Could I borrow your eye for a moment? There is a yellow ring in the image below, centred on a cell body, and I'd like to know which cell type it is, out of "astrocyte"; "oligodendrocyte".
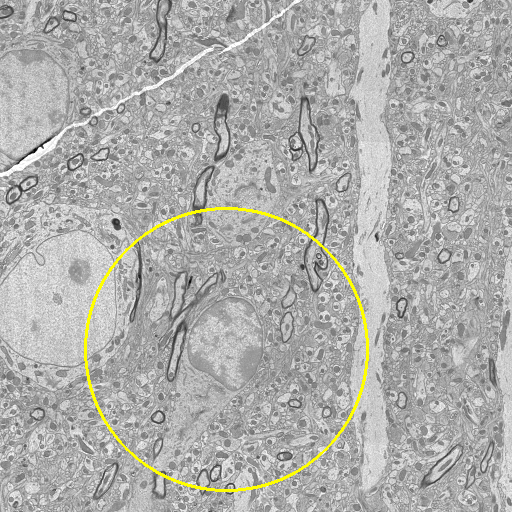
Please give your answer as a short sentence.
The cell body at the centre is that of an oligodendrocyte.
